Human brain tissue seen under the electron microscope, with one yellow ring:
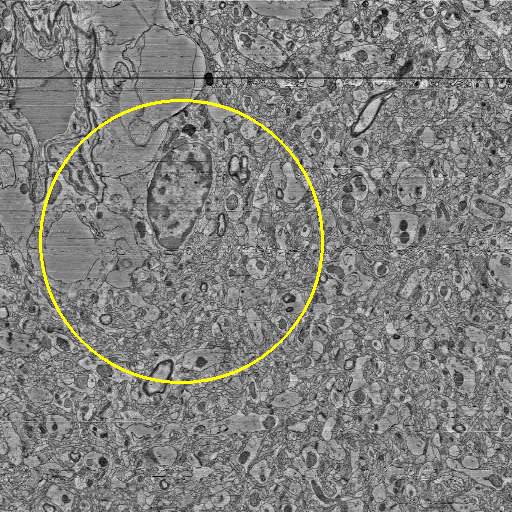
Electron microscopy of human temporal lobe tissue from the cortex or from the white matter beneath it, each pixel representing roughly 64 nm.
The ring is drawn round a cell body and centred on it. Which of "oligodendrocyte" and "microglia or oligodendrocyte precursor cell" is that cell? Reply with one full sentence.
The picture shows a microglial cell or oligodendrocyte precursor cell at the very centre of the yellow ring.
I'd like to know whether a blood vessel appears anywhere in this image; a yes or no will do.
Yes, there is a blood vessel.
